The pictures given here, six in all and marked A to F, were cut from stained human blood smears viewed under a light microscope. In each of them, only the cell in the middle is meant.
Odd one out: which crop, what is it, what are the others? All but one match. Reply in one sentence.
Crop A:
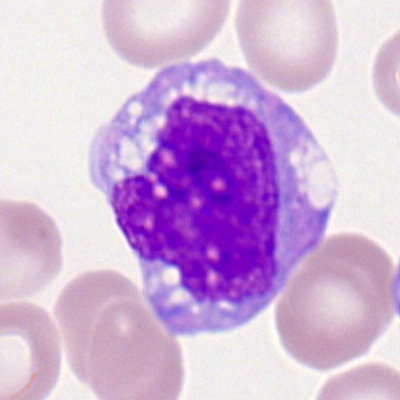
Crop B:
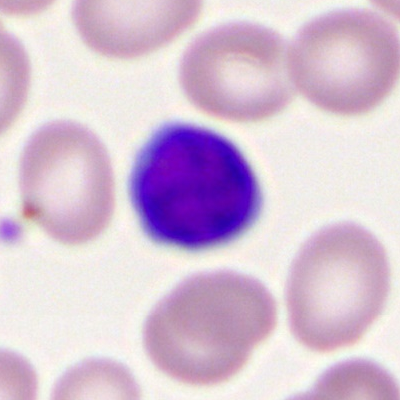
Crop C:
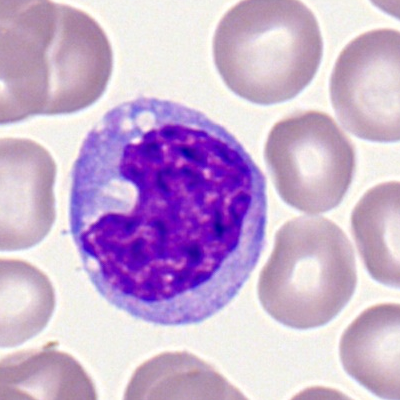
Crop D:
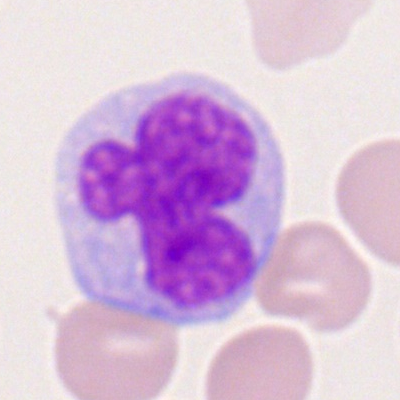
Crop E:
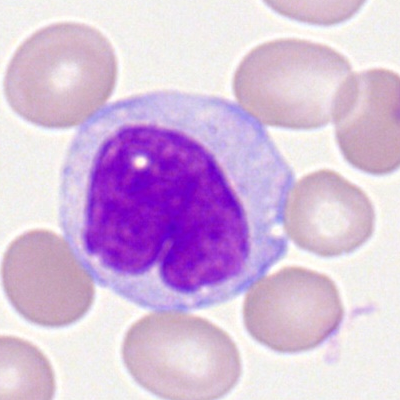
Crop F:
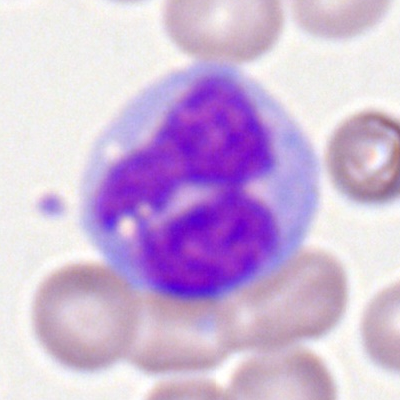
The pattern of monocytes across the crops is broken only by crop B, which shows a lymphocyte.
